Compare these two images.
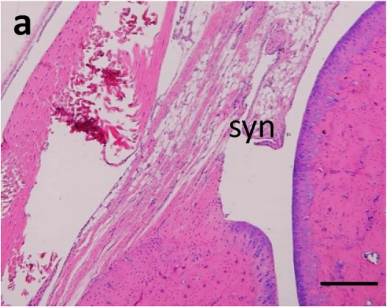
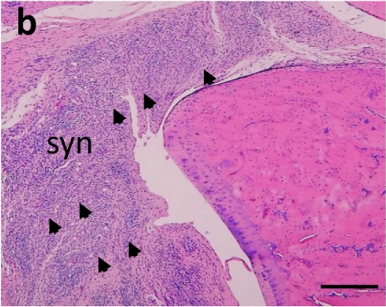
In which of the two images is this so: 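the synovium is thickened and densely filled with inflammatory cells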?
The second image.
